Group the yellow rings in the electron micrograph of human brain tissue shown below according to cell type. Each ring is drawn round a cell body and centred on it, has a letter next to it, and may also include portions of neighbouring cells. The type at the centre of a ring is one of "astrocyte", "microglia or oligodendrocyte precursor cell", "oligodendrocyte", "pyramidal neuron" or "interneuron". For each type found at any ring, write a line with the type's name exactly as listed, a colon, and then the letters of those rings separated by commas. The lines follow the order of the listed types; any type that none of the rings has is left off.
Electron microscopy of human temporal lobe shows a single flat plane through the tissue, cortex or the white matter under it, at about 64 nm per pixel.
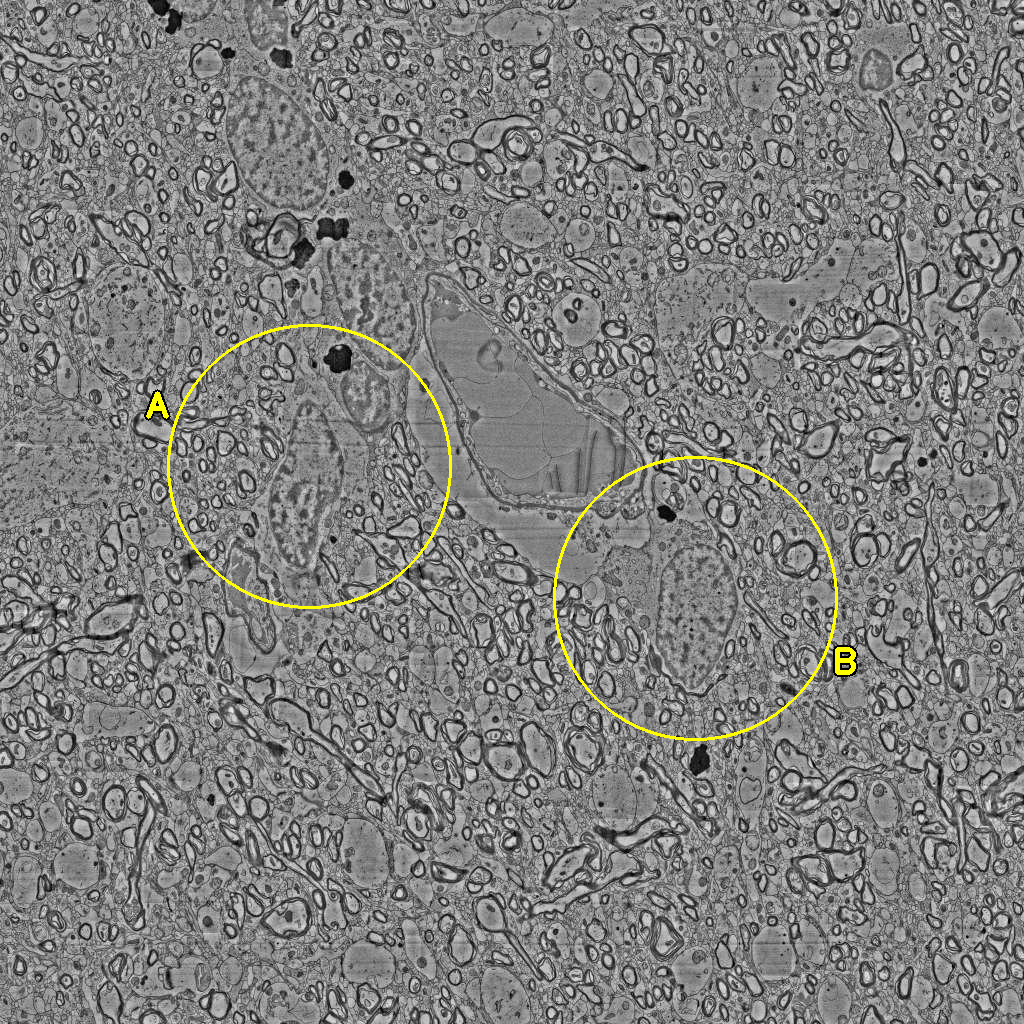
microglia or oligodendrocyte precursor cell: A
oligodendrocyte: B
